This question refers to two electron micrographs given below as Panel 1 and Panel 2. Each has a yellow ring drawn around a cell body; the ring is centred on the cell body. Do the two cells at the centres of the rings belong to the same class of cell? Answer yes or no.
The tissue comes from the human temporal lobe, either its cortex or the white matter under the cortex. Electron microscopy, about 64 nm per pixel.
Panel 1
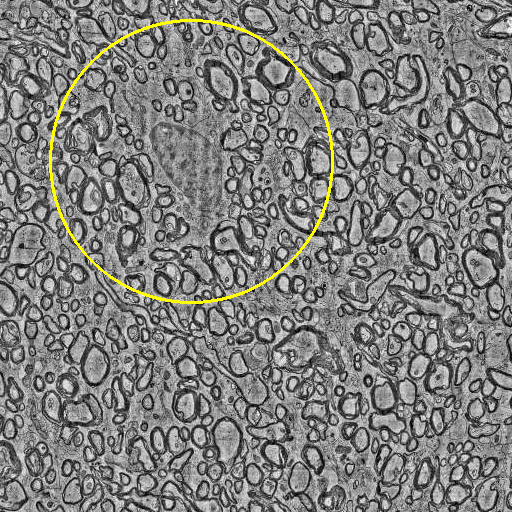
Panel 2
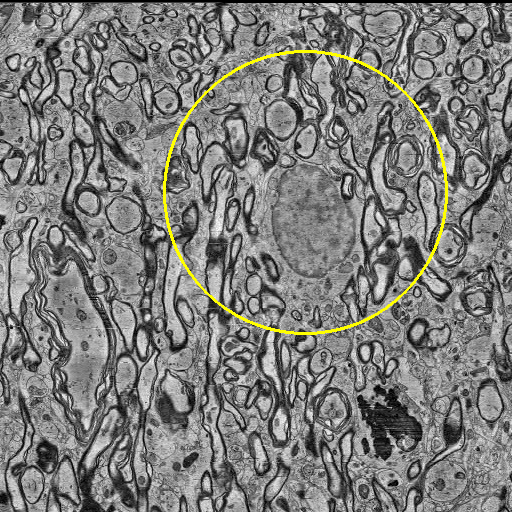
no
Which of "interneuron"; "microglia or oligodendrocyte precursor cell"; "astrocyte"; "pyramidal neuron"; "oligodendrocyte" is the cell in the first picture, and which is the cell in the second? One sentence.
The two differ: the first cell is a microglial cell or oligodendrocyte precursor cell and the second is an oligodendrocyte.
